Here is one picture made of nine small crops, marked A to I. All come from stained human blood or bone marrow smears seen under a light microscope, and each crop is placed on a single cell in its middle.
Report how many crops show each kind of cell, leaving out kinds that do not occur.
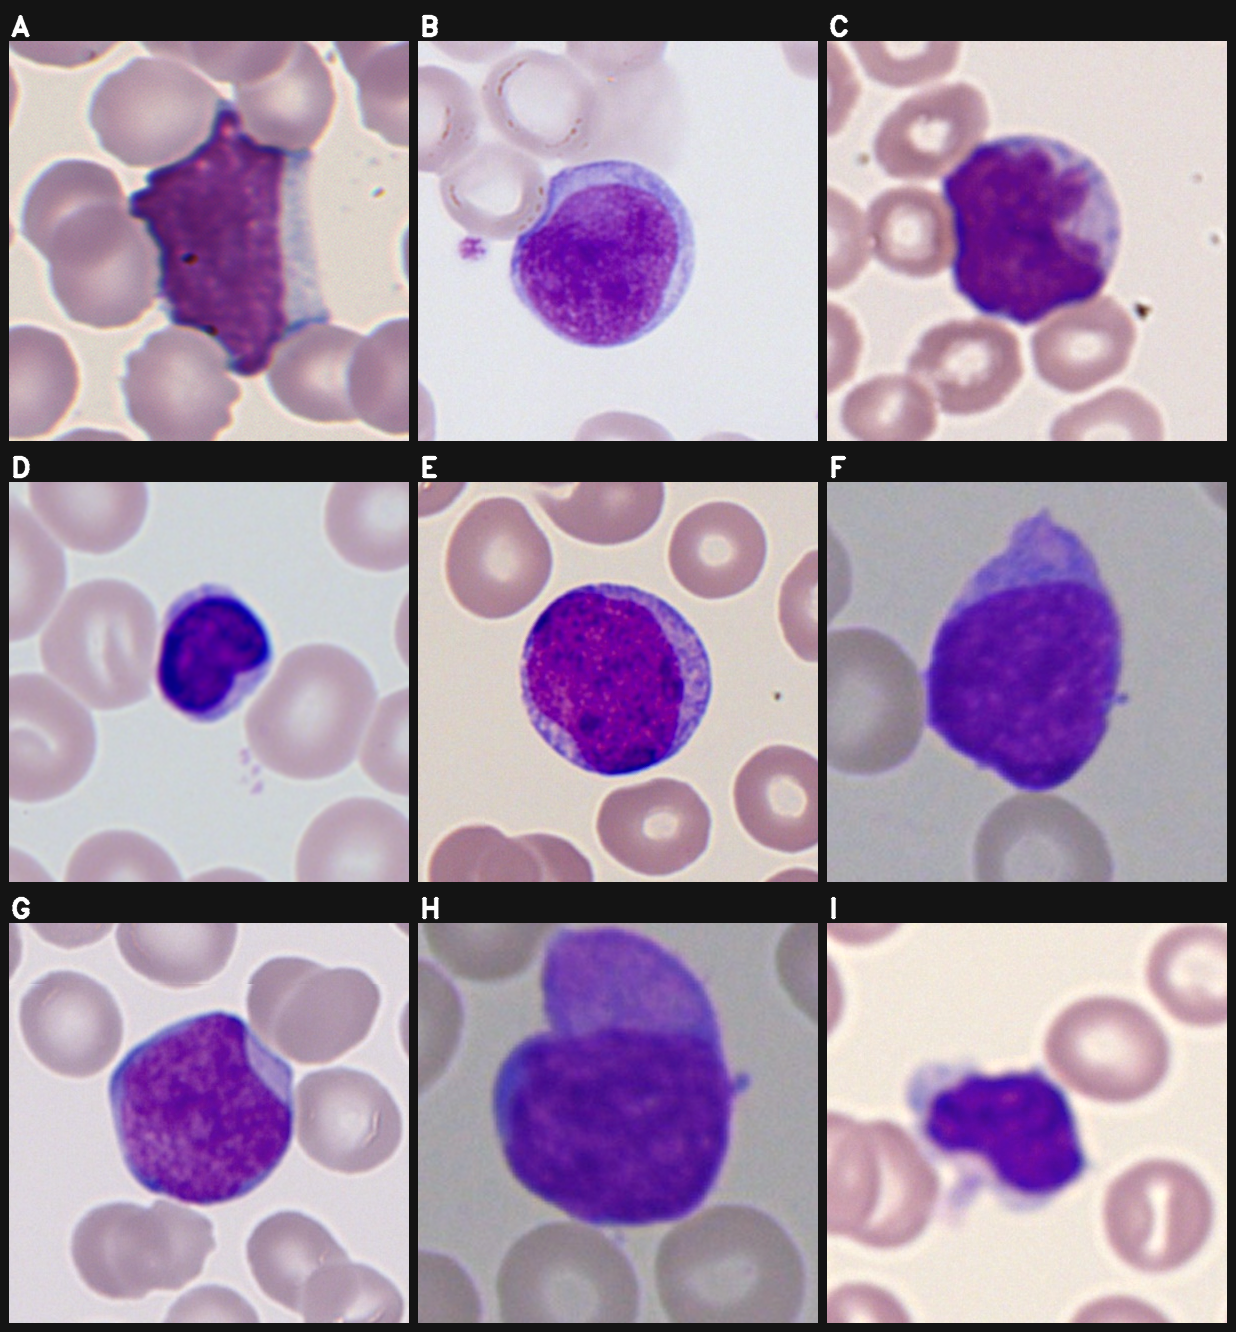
blast: 6
lymphocyte: 3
